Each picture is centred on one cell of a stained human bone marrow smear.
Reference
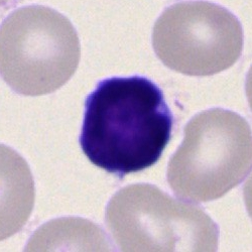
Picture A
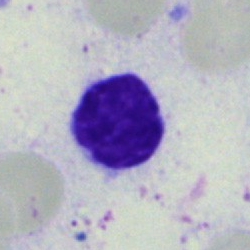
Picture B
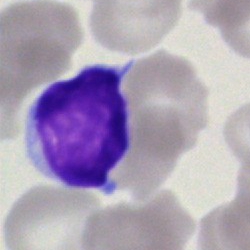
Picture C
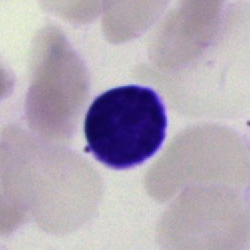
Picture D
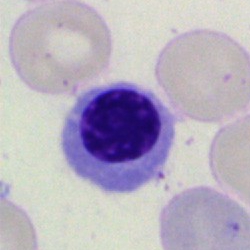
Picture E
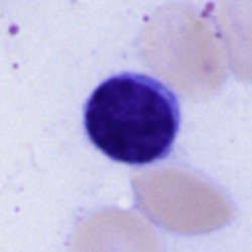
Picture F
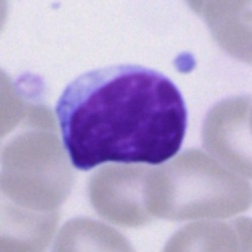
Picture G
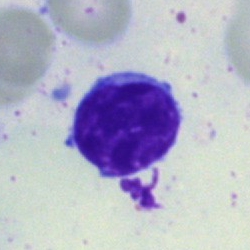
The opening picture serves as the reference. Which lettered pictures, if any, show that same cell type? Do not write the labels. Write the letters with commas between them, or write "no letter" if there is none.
A, B, C, E, F, G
